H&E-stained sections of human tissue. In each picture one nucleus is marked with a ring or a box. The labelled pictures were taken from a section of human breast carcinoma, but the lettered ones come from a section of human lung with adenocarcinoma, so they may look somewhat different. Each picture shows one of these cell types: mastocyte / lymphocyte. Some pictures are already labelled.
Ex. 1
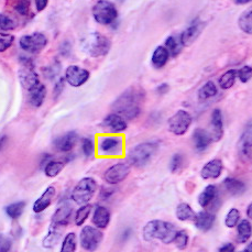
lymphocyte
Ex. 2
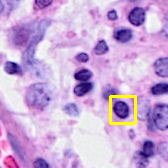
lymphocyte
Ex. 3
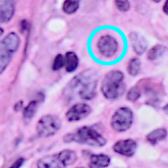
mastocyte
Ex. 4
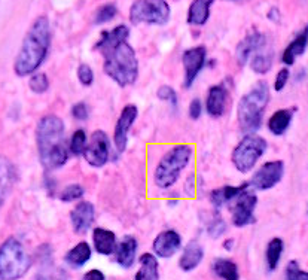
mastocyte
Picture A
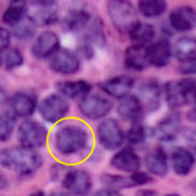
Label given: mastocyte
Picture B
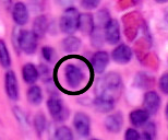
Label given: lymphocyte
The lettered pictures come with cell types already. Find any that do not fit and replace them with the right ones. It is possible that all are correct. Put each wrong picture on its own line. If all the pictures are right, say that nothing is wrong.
Wrong: A (mastocyte); correct: lymphocyte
